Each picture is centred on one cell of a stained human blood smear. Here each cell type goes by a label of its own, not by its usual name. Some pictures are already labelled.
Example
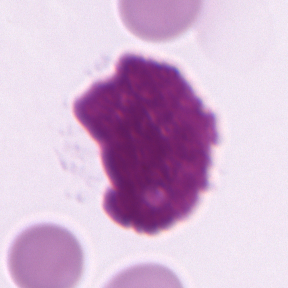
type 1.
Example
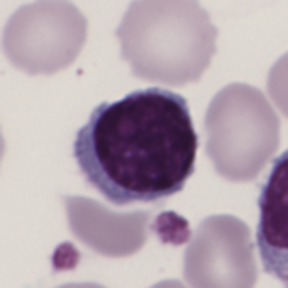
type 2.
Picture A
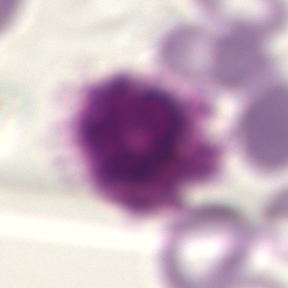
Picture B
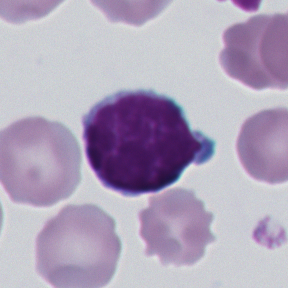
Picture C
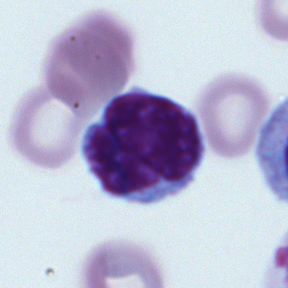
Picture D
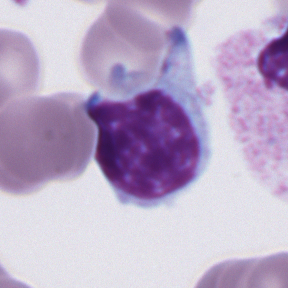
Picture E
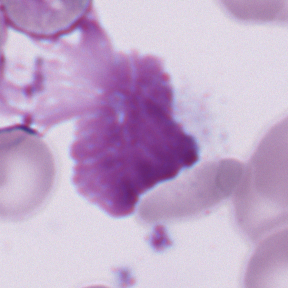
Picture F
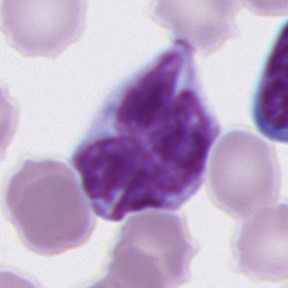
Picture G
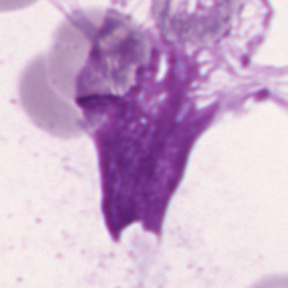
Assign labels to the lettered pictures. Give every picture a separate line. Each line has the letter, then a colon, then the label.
A: type 1.
B: type 2.
C: type 2.
D: type 2.
E: type 1.
F: type 2.
G: type 1.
